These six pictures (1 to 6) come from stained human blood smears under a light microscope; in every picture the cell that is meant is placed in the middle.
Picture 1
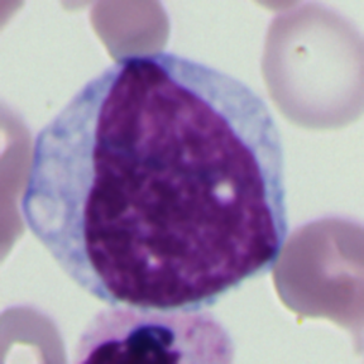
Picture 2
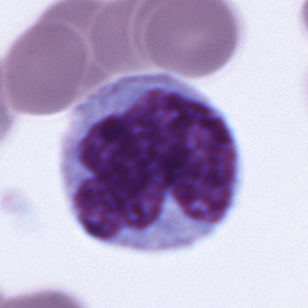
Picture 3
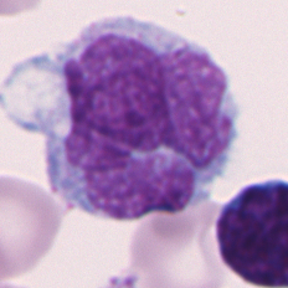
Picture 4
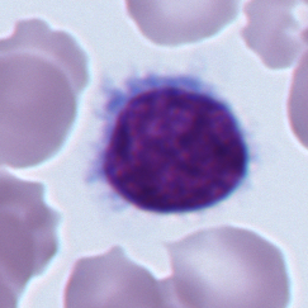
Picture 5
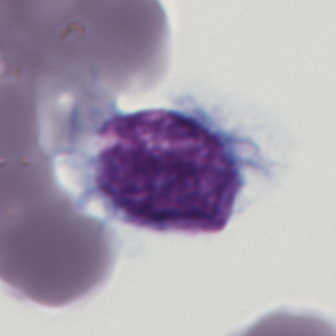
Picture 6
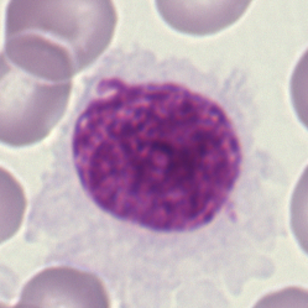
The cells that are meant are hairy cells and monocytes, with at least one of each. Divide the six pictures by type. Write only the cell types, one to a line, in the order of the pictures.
monocyte
monocyte
monocyte
hairy cell
hairy cell
hairy cell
